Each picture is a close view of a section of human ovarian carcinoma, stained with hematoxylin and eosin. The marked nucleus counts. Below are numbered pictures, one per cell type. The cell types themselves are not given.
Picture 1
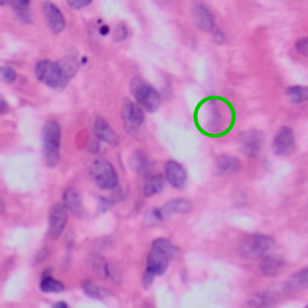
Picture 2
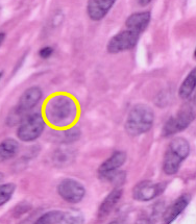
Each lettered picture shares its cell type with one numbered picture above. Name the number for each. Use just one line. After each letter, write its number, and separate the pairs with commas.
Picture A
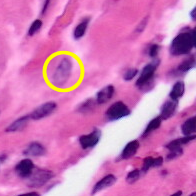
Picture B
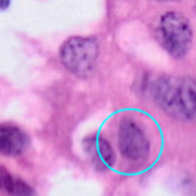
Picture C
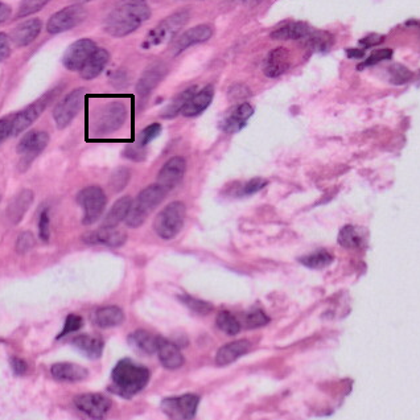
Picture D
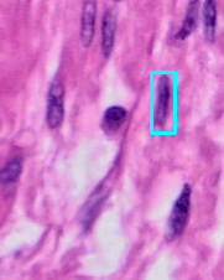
A 1, B 2, C 2, D 1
